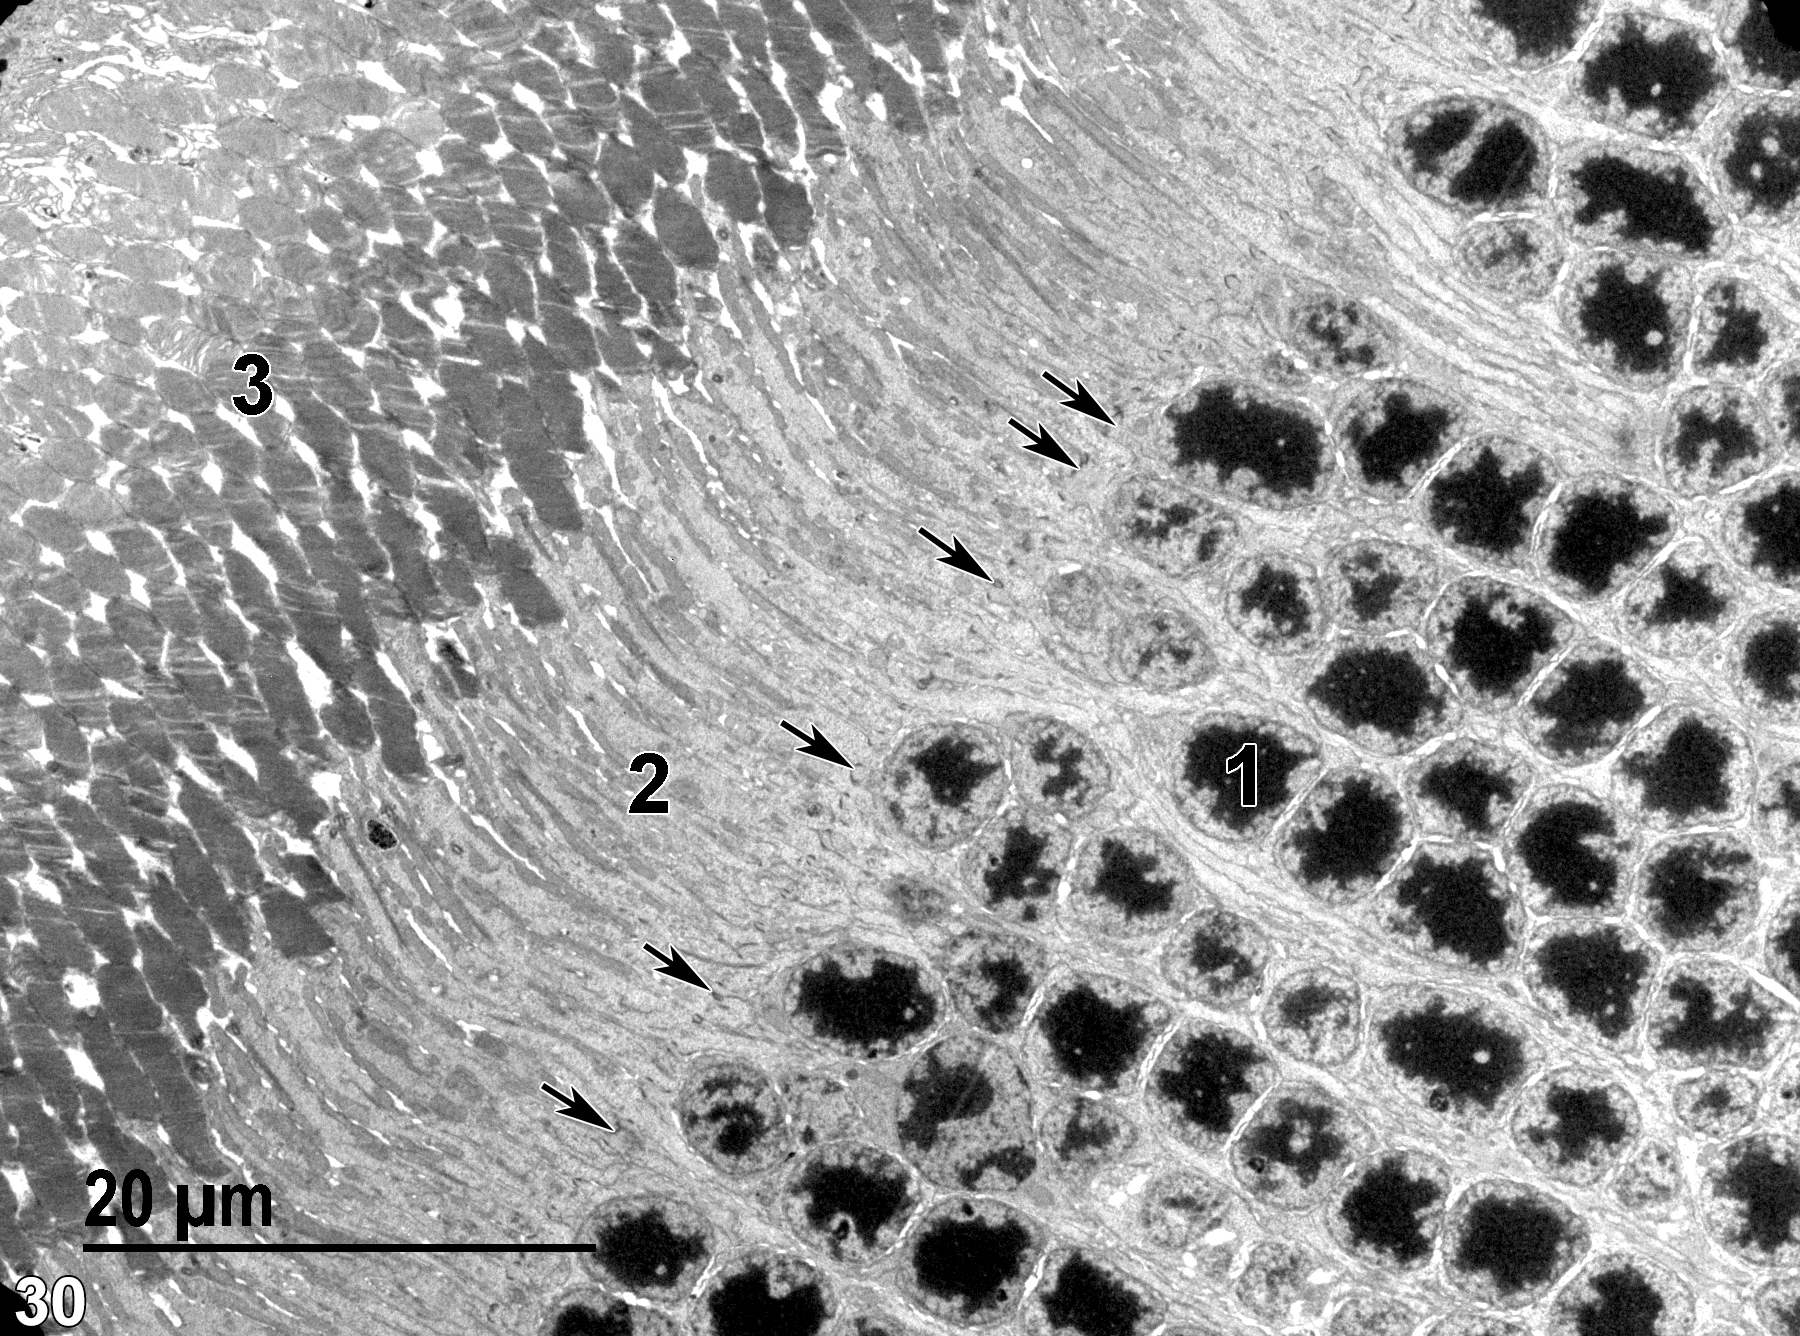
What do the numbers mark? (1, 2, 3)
(1) outer nuclear layer
(2) inner segments of rods and cones
(3) outer segments of the rods and cones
